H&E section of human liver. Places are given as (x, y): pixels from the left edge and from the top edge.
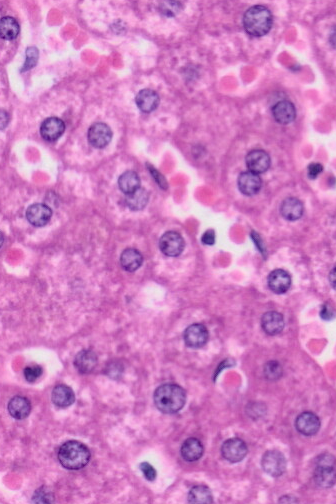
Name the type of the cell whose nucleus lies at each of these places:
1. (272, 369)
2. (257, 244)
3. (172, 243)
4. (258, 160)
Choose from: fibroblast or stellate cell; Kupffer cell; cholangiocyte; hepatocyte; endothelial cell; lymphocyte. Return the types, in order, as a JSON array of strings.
["hepatocyte", "endothelial cell", "hepatocyte", "hepatocyte"]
